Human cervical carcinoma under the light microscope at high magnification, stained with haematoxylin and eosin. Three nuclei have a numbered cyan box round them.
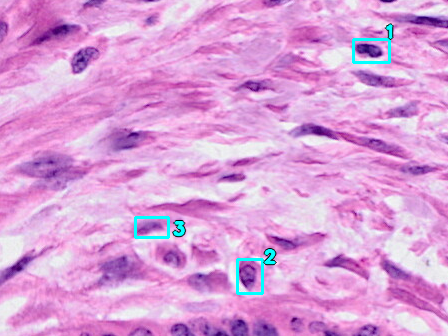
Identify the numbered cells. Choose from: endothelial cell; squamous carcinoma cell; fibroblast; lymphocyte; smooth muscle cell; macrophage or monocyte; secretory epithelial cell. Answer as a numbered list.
1. lymphocyte
2. macrophage or monocyte
3. fibroblast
